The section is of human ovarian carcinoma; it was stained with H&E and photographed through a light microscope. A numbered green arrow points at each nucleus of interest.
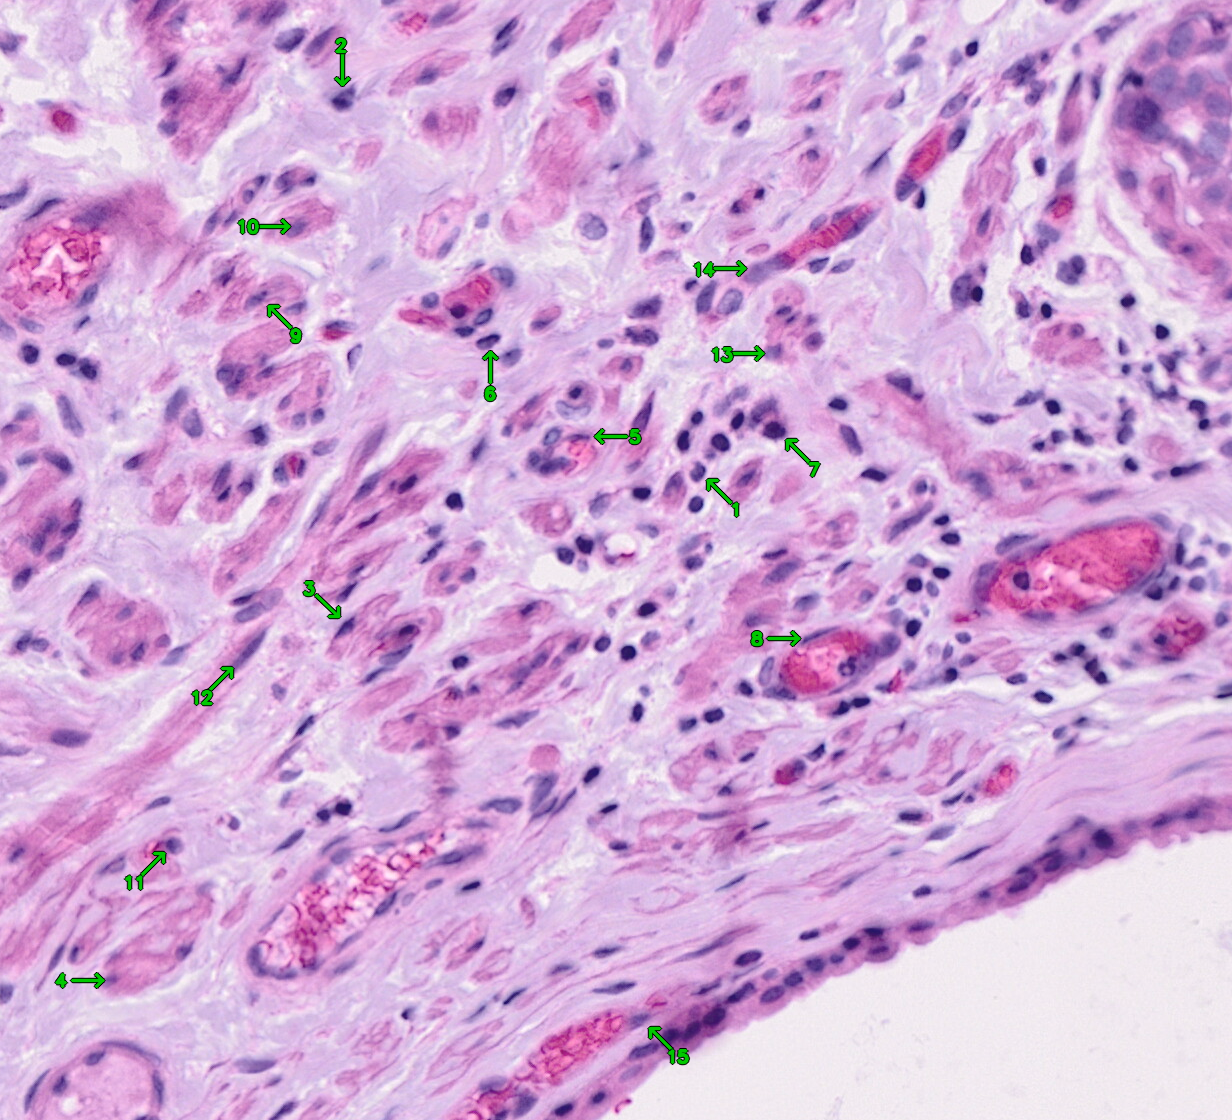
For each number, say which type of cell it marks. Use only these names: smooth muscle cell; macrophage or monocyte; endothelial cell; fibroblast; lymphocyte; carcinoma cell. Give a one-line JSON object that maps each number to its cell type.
{"1": "lymphocyte", "2": "fibroblast", "3": "smooth muscle cell", "4": "smooth muscle cell", "5": "endothelial cell", "6": "lymphocyte", "7": "lymphocyte", "8": "endothelial cell", "9": "smooth muscle cell", "10": "smooth muscle cell", "11": "endothelial cell", "12": "smooth muscle cell", "13": "smooth muscle cell", "14": "endothelial cell", "15": "endothelial cell"}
